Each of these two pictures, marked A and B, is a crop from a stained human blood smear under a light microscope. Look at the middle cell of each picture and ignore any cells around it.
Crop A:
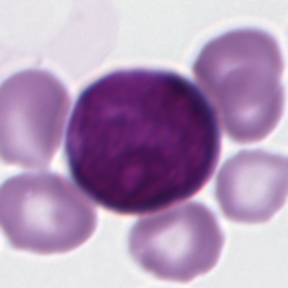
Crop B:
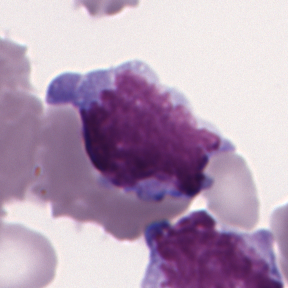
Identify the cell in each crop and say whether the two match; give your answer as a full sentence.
Yes, the two crops are alike in showing myeloblasts.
